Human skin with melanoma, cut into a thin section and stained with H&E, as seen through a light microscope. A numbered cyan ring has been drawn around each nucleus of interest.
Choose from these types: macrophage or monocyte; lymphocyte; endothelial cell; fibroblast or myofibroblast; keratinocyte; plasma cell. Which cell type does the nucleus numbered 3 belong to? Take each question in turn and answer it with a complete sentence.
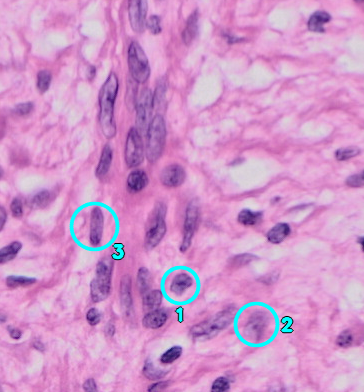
The nucleus labelled 3 belongs to a macrophage or monocyte.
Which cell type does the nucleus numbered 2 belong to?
Among the marked cells, number 2 is a fibroblast or myofibroblast.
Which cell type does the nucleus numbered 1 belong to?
The cell whose nucleus carries the number 1 is a lymphocyte.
